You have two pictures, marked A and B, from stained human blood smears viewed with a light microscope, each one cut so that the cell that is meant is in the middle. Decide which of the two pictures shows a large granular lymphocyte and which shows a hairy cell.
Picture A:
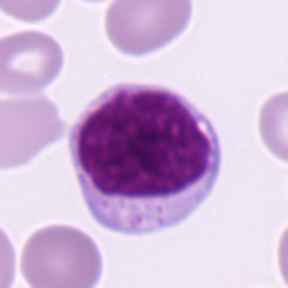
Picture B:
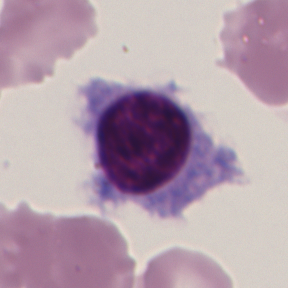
A: large granular lymphocyte
B: hairy cell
